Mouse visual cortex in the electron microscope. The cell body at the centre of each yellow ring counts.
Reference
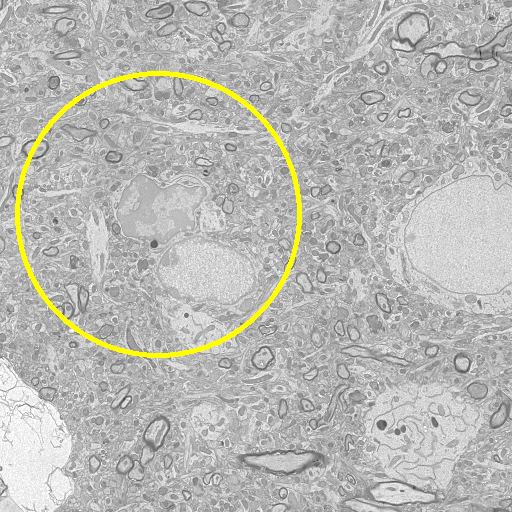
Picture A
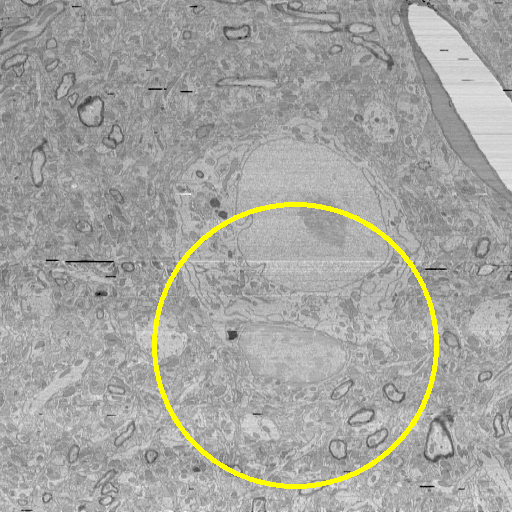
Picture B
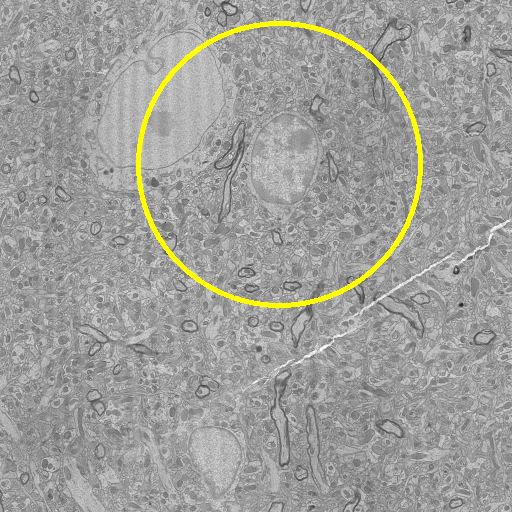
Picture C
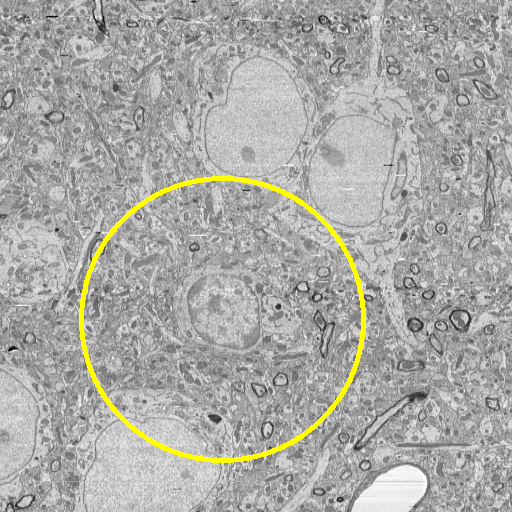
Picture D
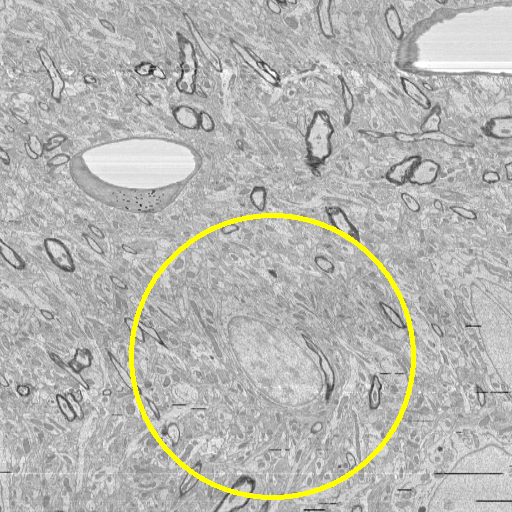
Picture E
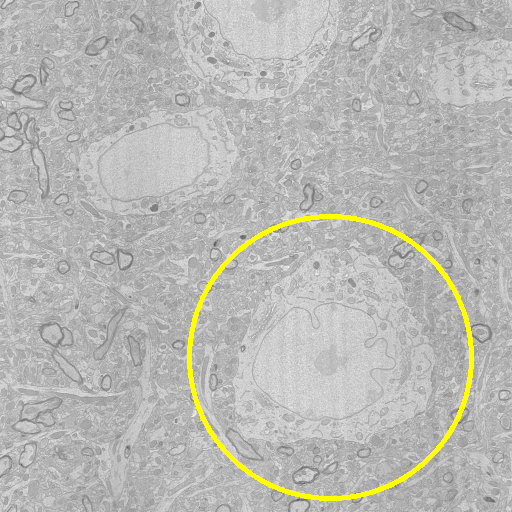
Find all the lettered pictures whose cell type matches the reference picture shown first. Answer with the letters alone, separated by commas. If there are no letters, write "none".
A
